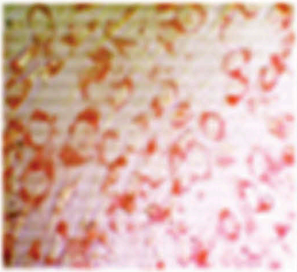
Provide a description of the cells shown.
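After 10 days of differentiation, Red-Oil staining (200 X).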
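This field shows a culture of cells many of which have become rounded adipocytes. The rounded cells carry red-orange stained material gathered in rings and clumps within their cytoplasm. They lie crowded side by side across the field, with paler unstained background between some of them.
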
